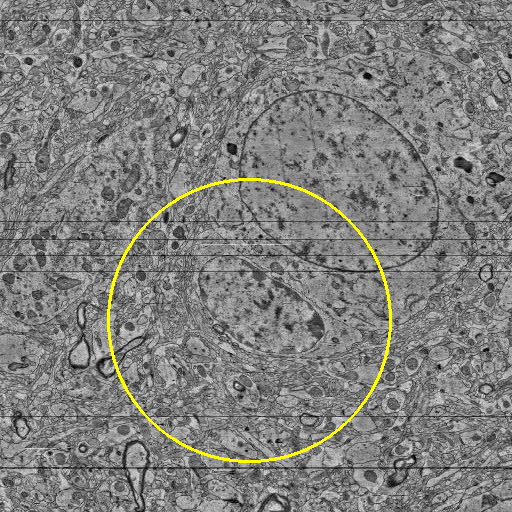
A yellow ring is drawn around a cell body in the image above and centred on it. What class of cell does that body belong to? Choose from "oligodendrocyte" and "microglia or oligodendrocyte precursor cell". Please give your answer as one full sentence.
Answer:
The yellow ring above is centred on the cell body of a microglial cell or oligodendrocyte precursor cell.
